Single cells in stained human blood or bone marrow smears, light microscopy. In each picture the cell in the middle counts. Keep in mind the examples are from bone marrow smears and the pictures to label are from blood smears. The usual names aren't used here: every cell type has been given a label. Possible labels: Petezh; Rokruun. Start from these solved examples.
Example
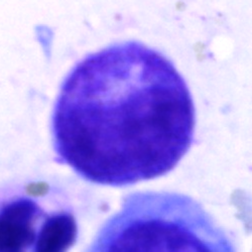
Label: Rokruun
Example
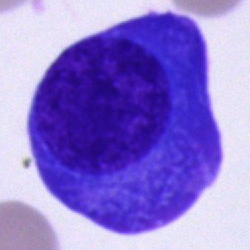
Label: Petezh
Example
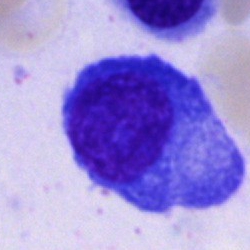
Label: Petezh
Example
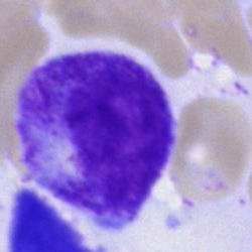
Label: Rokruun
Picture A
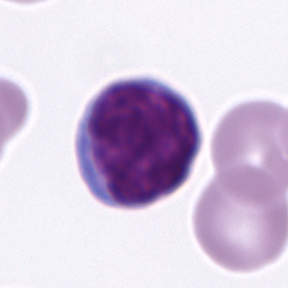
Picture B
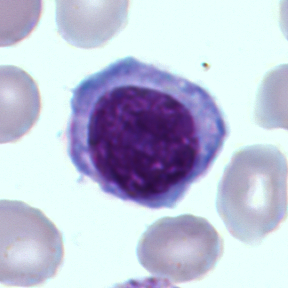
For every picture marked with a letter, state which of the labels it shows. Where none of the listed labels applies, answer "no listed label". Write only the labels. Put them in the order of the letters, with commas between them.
no listed label, Petezh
